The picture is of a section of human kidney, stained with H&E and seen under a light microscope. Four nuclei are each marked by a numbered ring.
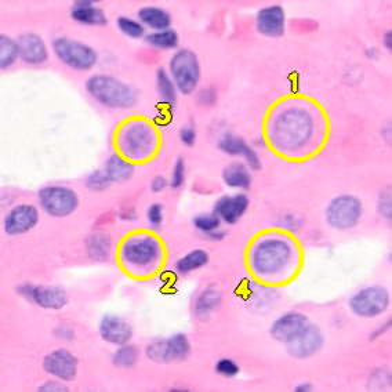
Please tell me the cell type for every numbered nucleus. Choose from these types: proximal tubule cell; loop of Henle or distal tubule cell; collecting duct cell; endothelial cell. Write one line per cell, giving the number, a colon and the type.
1: proximal tubule cell
2: loop of Henle or distal tubule cell
3: collecting duct cell
4: collecting duct cell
